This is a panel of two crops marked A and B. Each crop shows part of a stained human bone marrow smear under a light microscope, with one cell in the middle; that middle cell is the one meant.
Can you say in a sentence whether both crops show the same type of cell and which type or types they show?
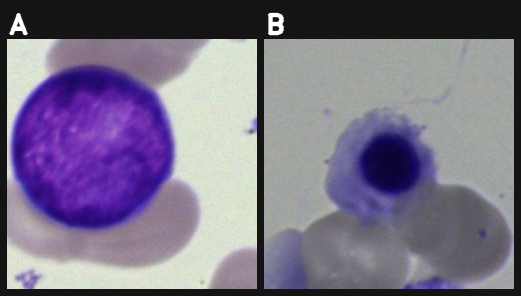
No, crop A is of a blast, and crop B is of an erythroblast.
